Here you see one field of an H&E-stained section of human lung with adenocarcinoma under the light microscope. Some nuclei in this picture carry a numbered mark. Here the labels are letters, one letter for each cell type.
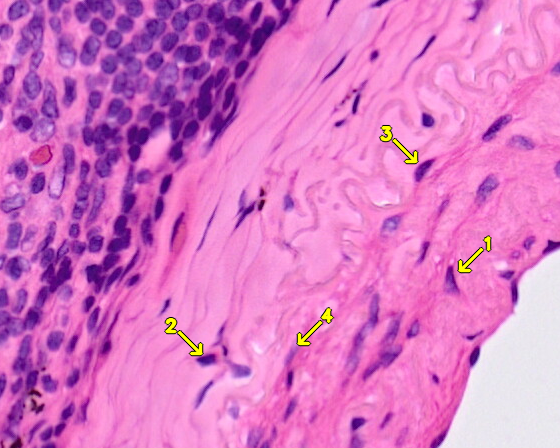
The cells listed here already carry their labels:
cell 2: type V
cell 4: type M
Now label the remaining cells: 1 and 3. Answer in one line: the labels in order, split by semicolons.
type M; type M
